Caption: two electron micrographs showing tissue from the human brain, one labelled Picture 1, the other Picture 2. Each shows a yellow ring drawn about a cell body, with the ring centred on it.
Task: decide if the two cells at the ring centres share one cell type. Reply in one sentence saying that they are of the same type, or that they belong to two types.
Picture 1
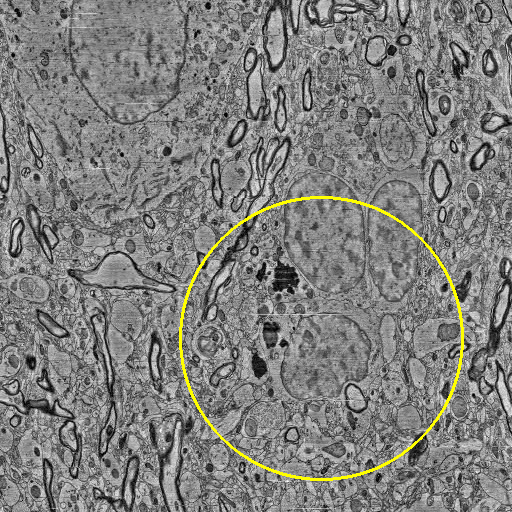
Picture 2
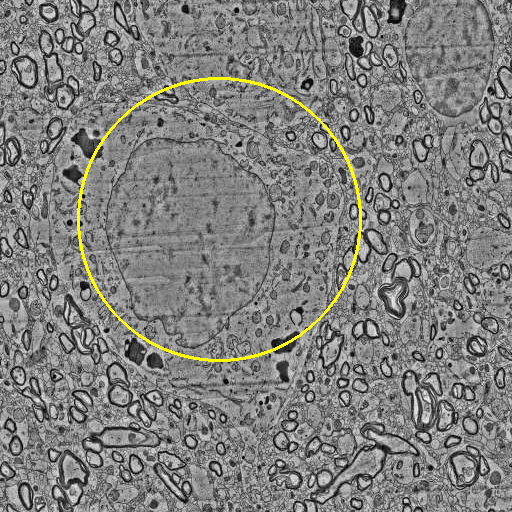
The cells at the ring centres in Picture 1 and Picture 2 belong to two types.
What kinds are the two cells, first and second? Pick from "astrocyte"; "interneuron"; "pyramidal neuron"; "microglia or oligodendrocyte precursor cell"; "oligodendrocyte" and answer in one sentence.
The second picture holds a pyramidal neuron in its ring, and the first holds an oligodendrocyte.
